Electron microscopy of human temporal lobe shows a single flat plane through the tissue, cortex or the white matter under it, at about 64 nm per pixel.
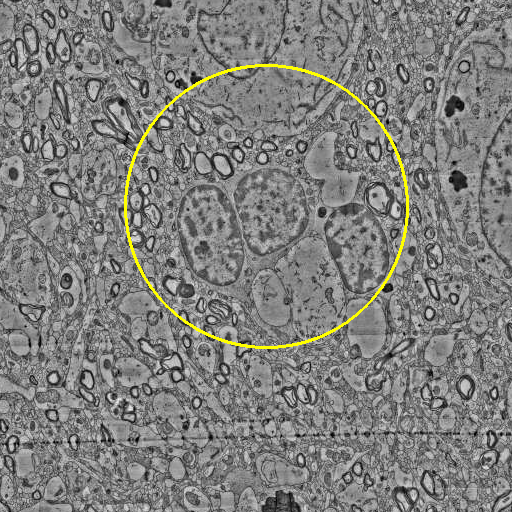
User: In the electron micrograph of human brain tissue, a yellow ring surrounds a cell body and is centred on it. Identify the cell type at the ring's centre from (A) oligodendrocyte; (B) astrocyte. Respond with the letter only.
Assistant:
A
